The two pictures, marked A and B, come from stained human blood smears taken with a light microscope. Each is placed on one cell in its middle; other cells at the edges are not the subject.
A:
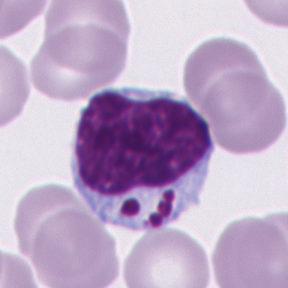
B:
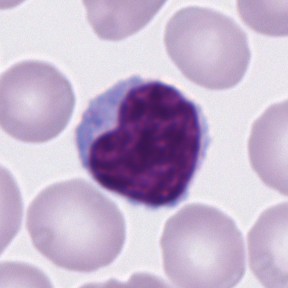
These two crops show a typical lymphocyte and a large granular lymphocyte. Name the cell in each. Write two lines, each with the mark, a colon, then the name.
A: large granular lymphocyte
B: typical lymphocyte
